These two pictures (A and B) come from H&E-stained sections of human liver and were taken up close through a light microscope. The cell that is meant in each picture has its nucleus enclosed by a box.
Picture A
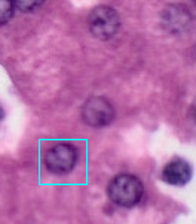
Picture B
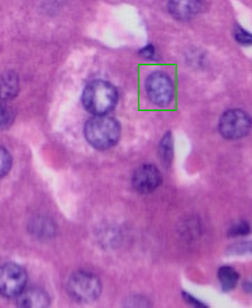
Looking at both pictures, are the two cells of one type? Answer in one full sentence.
No, picture A shows a hepatocyte and picture B shows a cholangiocyte.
